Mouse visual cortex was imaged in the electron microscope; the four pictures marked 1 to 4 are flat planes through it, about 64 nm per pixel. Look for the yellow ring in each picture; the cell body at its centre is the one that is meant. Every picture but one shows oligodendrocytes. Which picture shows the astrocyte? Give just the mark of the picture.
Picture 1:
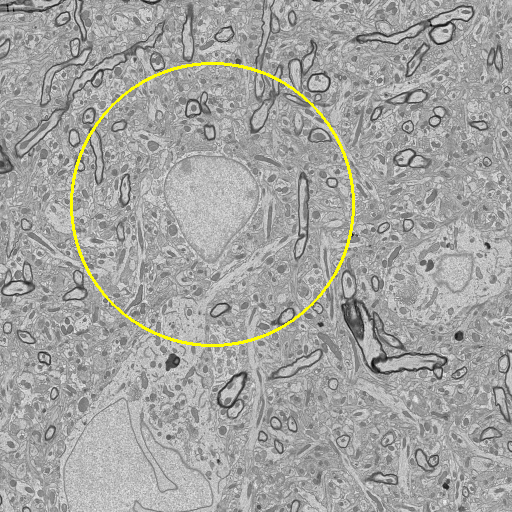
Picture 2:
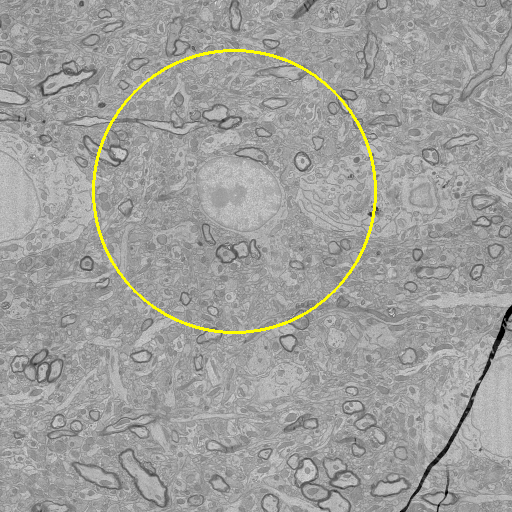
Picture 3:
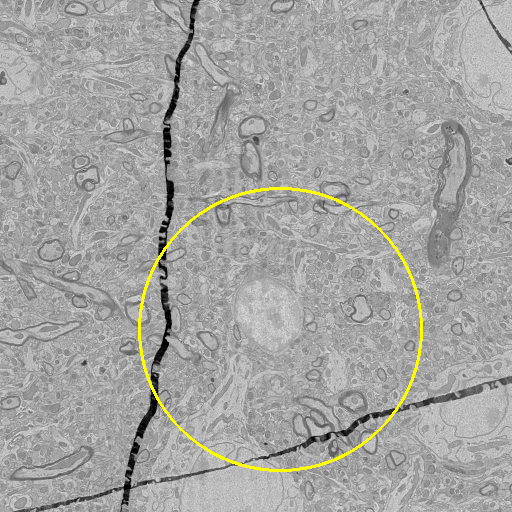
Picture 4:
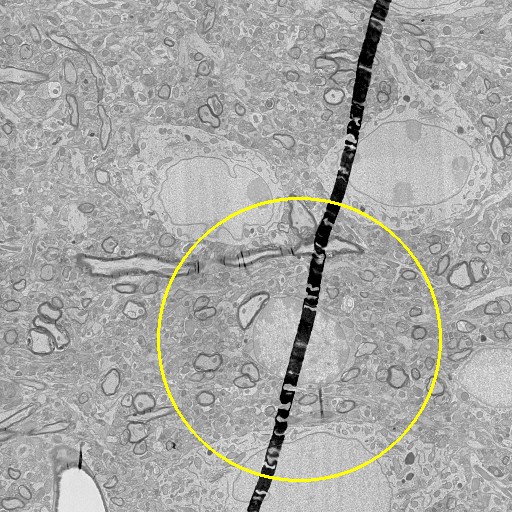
1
